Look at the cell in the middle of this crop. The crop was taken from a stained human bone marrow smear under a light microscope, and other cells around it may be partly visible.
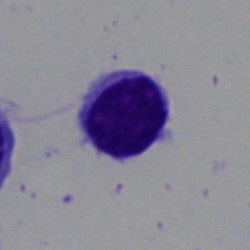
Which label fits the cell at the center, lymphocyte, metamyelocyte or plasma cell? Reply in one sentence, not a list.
The middle cell in this particular crop is a lymphocyte.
